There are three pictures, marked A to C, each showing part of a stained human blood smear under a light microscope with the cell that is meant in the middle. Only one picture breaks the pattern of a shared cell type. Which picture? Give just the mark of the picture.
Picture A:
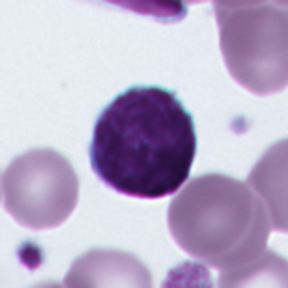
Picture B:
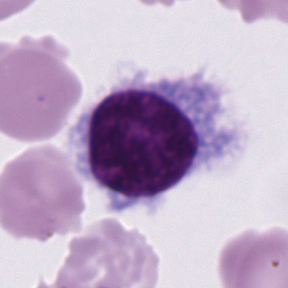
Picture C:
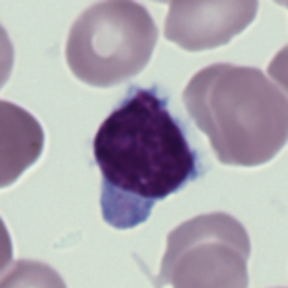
B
